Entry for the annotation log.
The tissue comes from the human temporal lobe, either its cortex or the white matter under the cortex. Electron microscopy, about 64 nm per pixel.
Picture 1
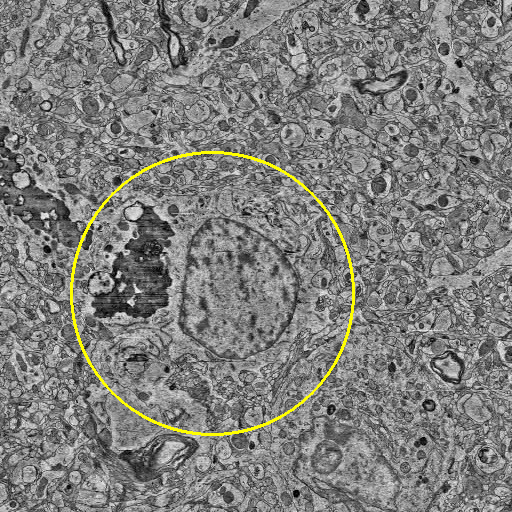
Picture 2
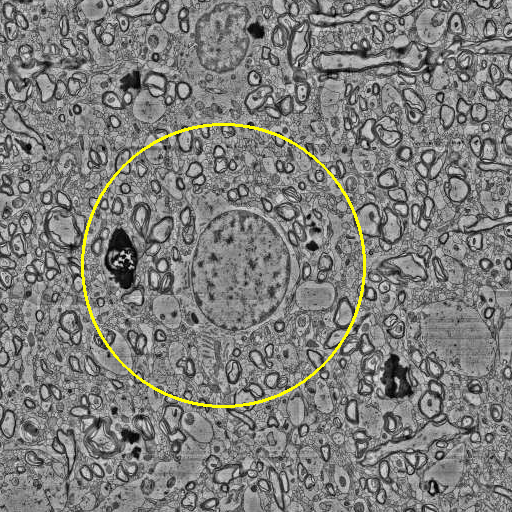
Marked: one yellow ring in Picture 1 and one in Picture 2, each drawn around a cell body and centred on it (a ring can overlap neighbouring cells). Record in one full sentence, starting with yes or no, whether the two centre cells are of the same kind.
No, the two cells are of two kinds.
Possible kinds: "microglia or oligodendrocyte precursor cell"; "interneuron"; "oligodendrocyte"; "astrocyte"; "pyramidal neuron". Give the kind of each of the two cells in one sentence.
The cell in the second picture is a microglial cell or oligodendrocyte precursor cell, and that in the first is an astrocyte.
